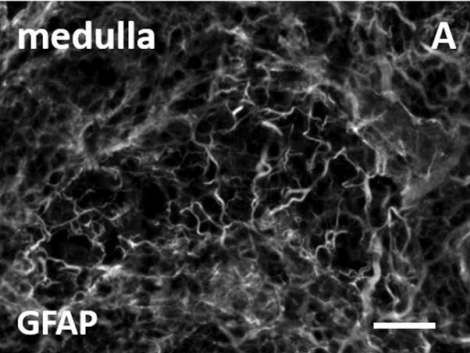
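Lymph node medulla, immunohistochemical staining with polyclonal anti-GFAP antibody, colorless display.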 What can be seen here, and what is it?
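No single cell bodies stand out clearly. The strands vary in brightness and thickness, and some appear beaded or curled. Darker rounded gaps lie between them, where the meshwork is less dense.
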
